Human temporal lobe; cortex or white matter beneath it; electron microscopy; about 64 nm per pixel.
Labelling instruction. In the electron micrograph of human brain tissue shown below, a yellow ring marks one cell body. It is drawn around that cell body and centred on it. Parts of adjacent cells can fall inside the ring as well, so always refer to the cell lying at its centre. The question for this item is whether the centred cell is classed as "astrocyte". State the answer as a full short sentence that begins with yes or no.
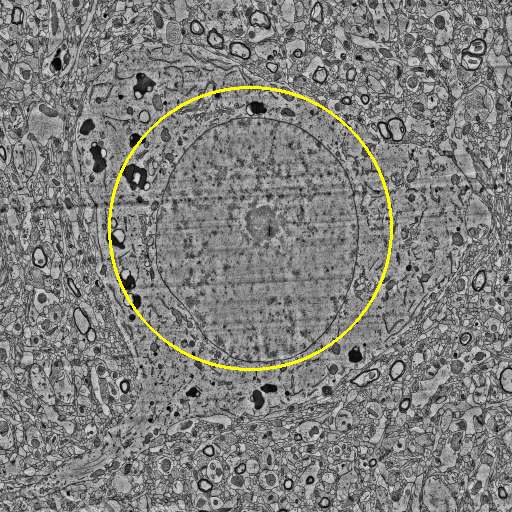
No, the centred cell belongs to another class.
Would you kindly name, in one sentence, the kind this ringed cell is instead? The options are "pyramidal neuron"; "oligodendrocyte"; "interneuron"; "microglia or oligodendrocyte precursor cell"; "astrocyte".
Instead, the ring surrounds a pyramidal neuron in this picture.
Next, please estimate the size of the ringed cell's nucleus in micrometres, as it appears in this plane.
About 17 by 13 micrometers for the nucleus, in this plane.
